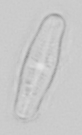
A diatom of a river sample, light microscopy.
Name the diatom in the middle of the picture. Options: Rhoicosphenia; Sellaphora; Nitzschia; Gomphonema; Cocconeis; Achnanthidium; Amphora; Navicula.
Sellaphora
